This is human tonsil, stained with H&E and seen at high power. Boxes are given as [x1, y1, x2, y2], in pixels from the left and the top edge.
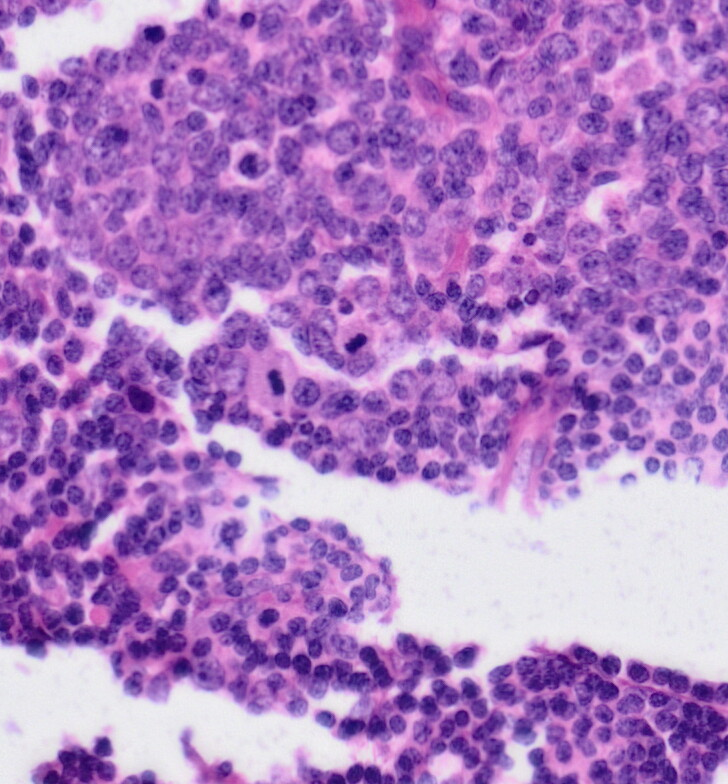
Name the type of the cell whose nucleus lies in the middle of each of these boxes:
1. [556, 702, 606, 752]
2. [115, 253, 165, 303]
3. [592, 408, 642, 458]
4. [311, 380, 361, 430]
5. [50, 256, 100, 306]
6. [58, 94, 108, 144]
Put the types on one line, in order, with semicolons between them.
small lymphocyte; proliferating B cell; small lymphocyte; proliferating B cell; proliferating B cell; proliferating B cell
